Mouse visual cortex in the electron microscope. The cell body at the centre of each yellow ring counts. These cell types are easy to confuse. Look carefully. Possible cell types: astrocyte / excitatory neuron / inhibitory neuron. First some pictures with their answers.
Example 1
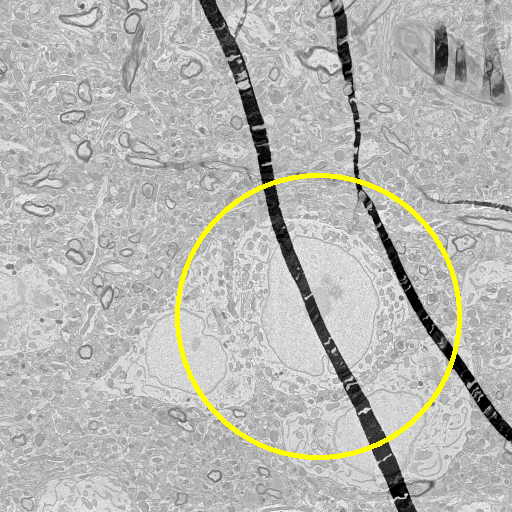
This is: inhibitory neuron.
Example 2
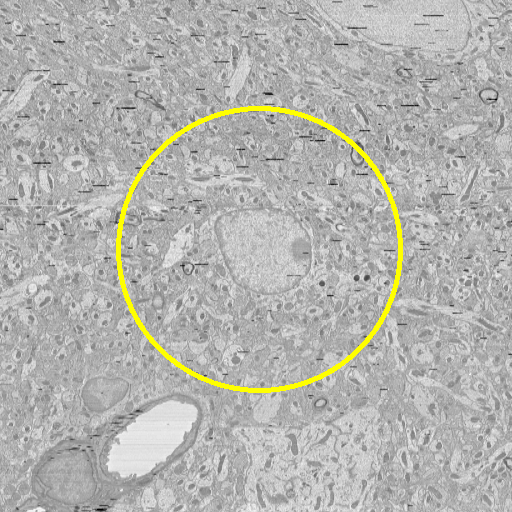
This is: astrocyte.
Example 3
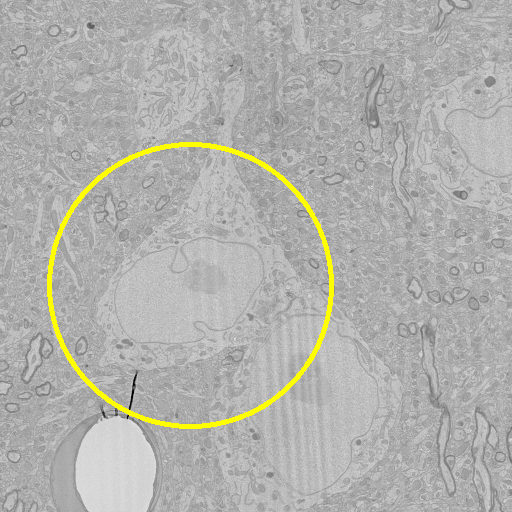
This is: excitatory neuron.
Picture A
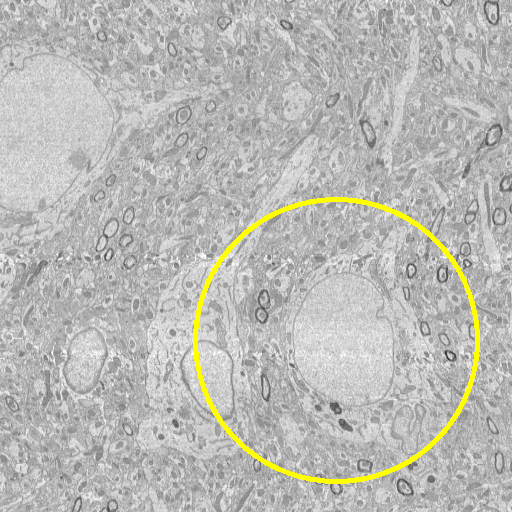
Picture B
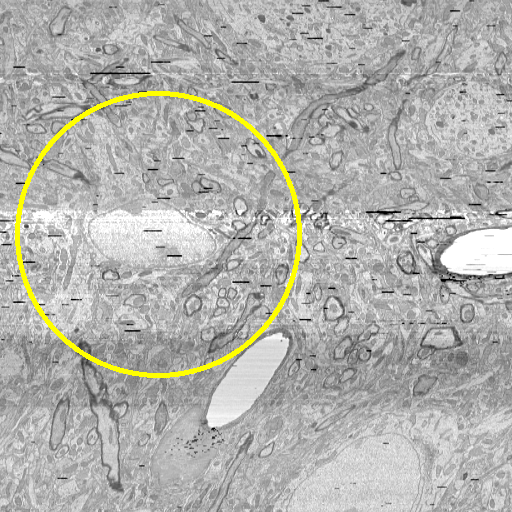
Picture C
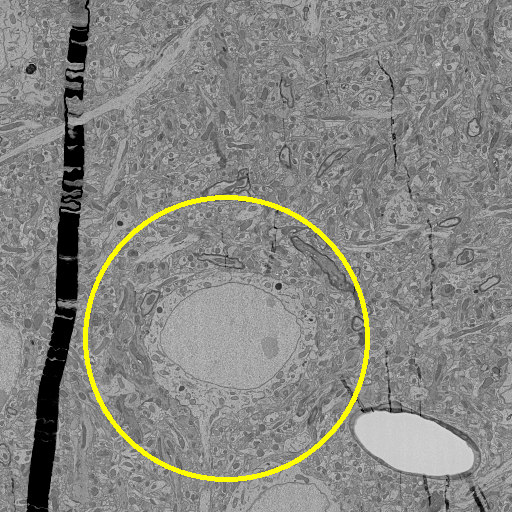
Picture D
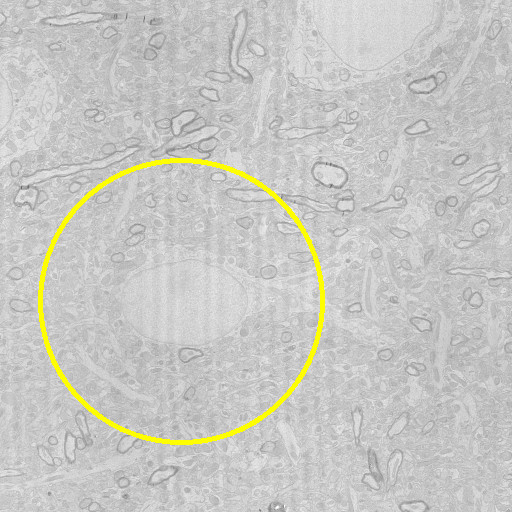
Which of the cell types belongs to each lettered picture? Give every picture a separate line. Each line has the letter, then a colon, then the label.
A: excitatory neuron.
B: astrocyte.
C: excitatory neuron.
D: astrocyte.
